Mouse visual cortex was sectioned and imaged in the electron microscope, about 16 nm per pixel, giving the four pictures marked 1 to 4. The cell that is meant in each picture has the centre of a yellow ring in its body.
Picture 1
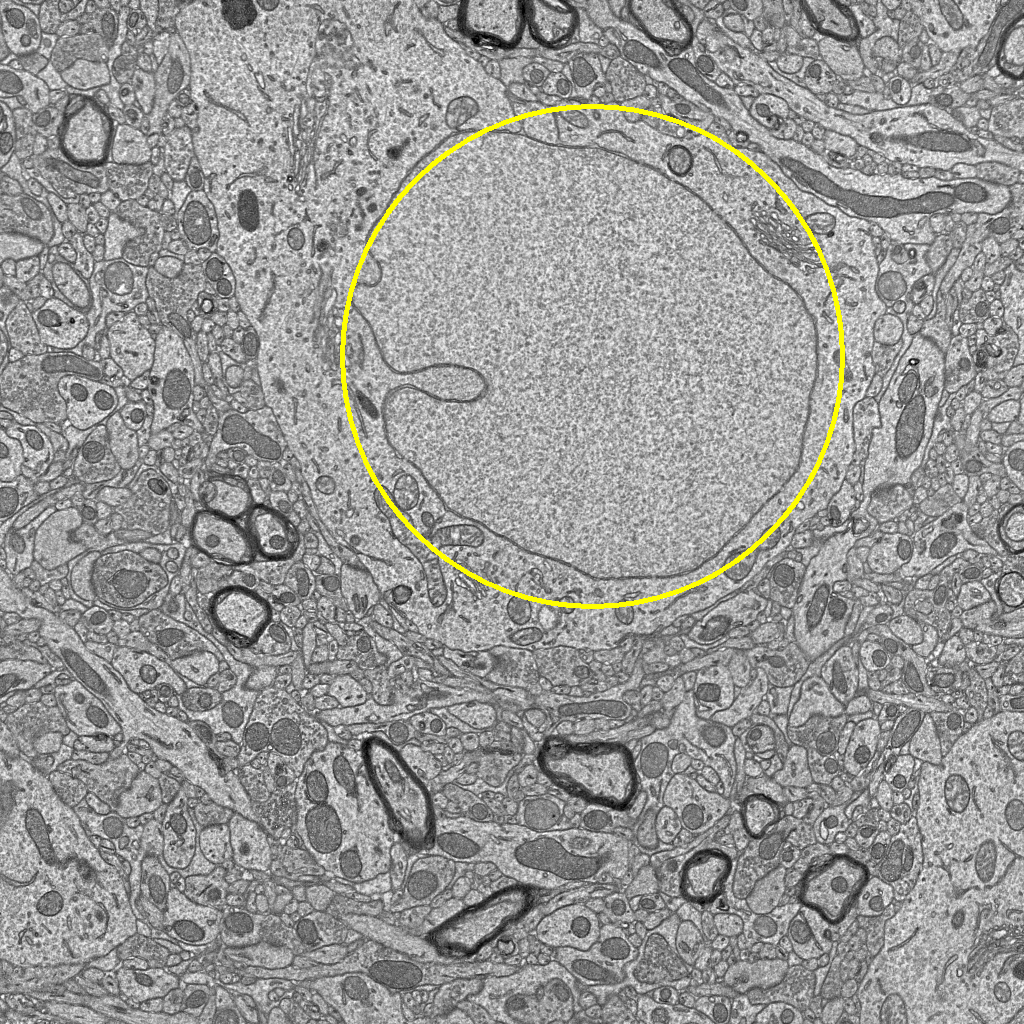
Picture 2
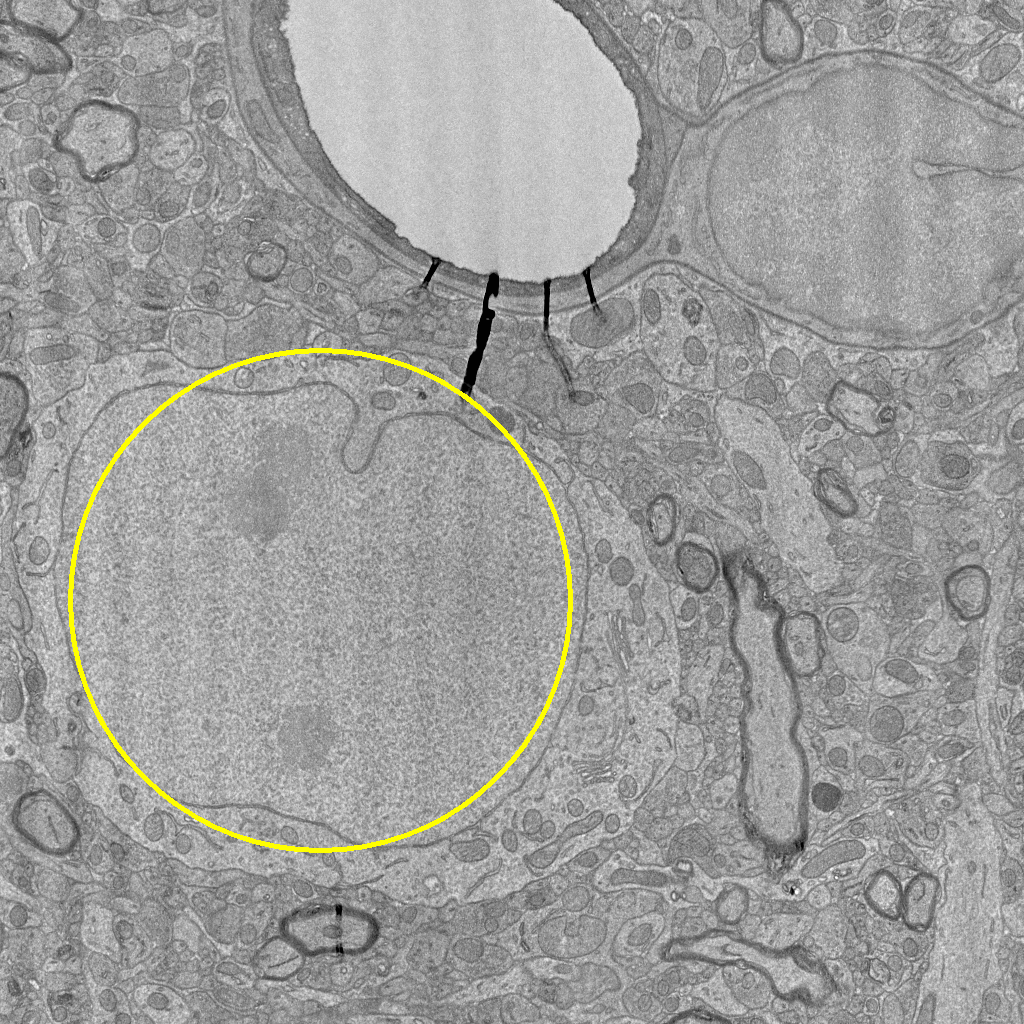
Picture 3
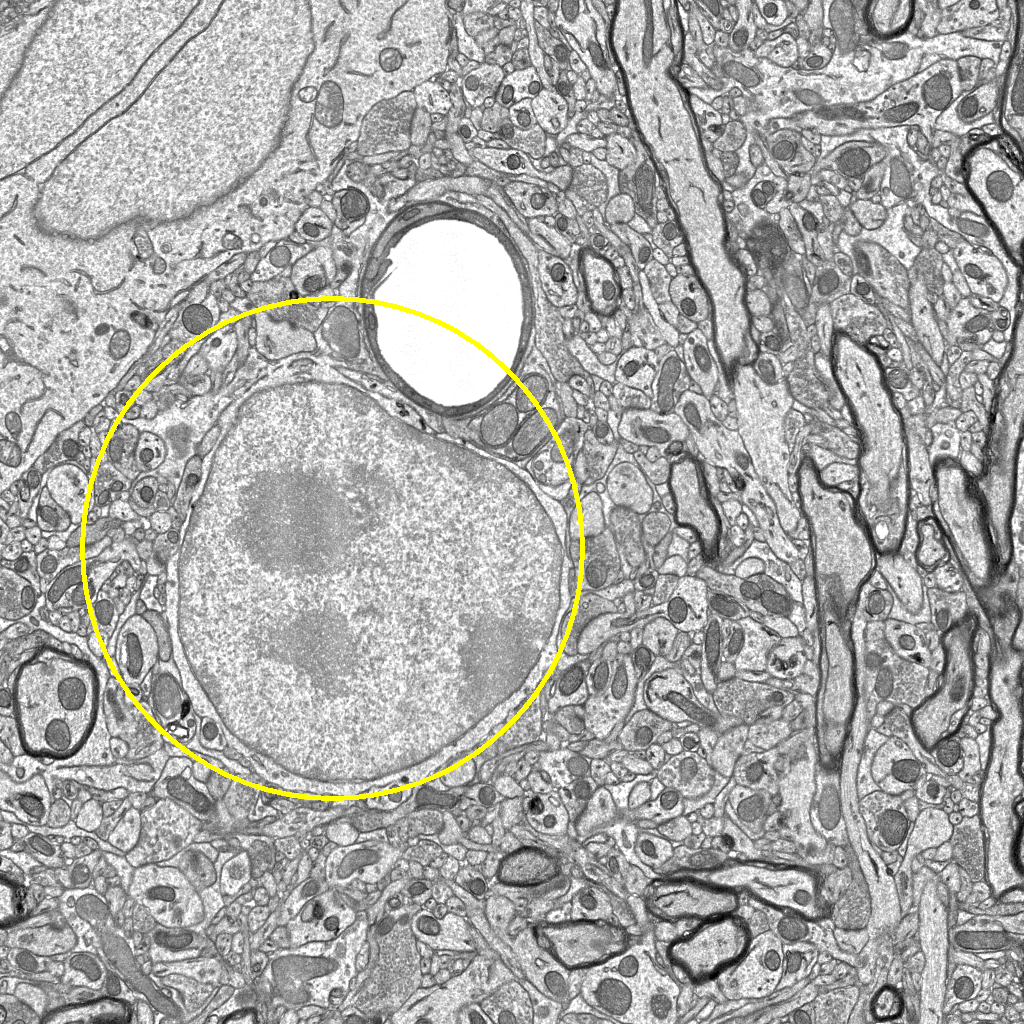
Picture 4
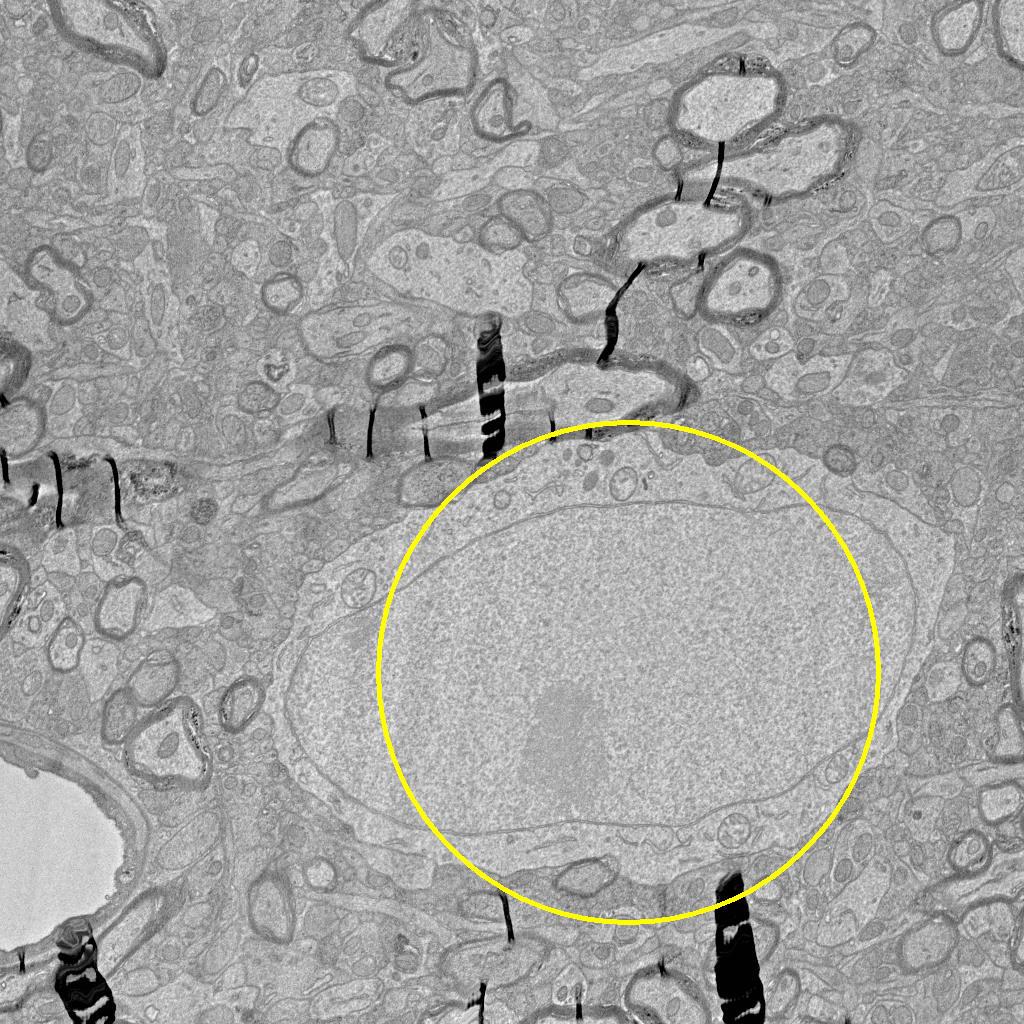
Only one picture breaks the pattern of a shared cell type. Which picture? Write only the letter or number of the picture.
3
